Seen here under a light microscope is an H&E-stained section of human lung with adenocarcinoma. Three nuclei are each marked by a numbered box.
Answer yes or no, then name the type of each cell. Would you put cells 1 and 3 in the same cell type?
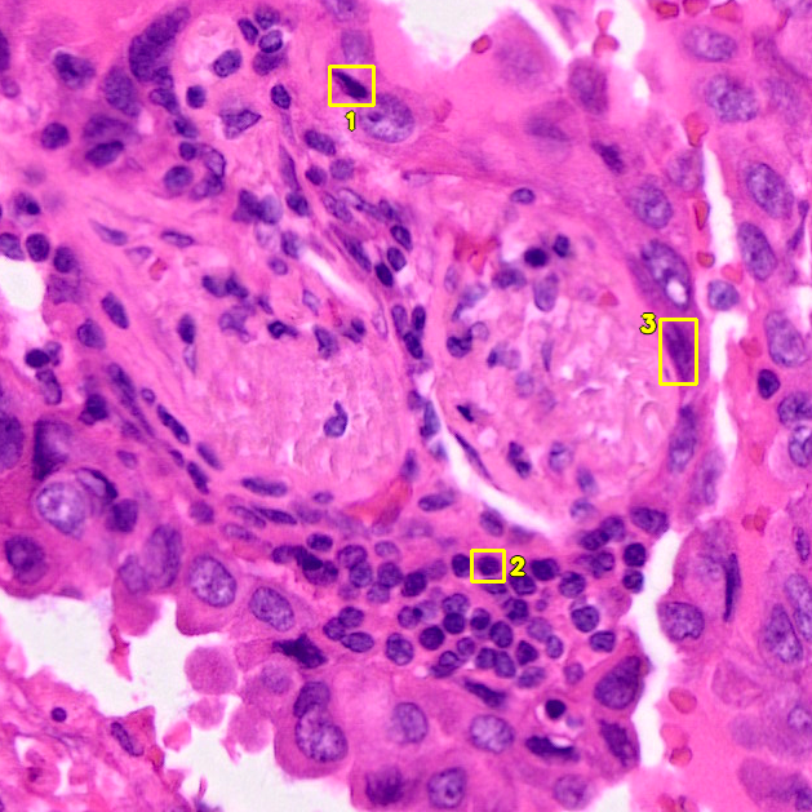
Yes, both are carcinoma cells.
